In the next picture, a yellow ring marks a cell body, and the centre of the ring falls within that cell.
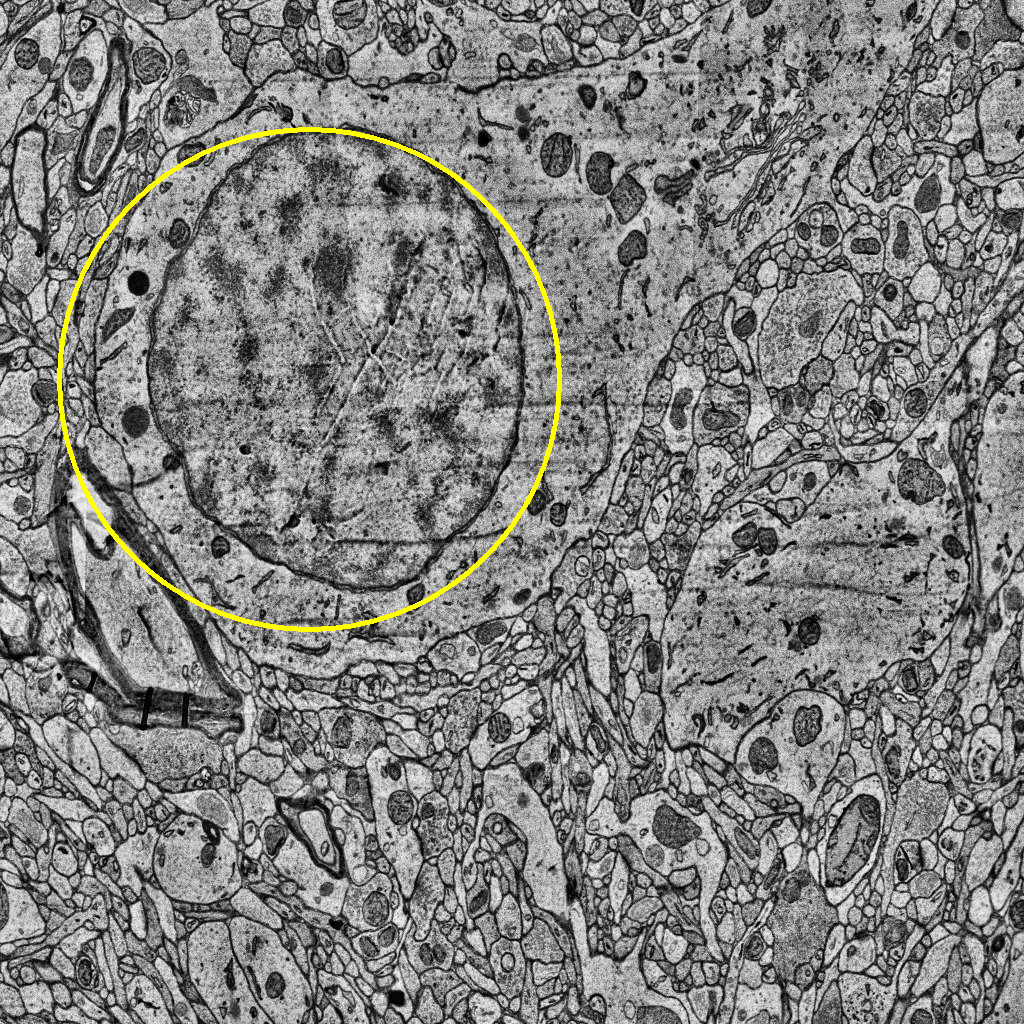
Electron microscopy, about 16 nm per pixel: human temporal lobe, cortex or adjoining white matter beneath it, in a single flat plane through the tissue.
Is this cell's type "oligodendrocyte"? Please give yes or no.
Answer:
no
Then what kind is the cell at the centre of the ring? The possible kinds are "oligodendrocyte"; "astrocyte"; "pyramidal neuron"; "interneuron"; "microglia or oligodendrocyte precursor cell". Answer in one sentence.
The ring holds a pyramidal neuron at its centre.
